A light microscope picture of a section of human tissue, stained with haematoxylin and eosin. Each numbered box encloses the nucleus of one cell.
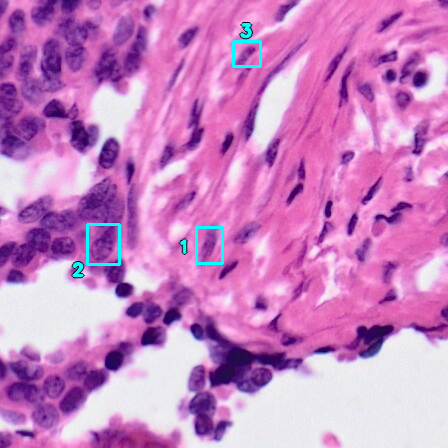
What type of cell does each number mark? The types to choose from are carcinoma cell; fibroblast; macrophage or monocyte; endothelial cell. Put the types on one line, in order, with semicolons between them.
fibroblast; carcinoma cell; fibroblast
